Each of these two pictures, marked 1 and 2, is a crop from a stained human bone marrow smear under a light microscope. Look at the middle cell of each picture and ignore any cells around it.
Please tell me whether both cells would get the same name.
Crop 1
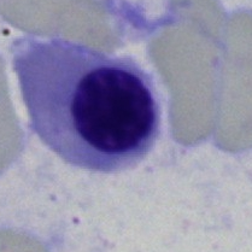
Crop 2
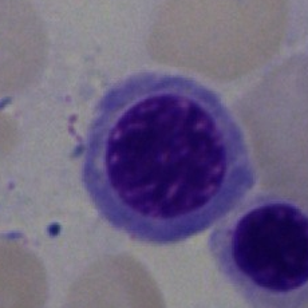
yes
